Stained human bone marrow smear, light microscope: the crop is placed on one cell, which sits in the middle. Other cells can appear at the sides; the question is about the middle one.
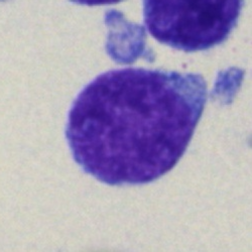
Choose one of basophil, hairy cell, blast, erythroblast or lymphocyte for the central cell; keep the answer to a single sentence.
The cell of interest, in the center, is a blast.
